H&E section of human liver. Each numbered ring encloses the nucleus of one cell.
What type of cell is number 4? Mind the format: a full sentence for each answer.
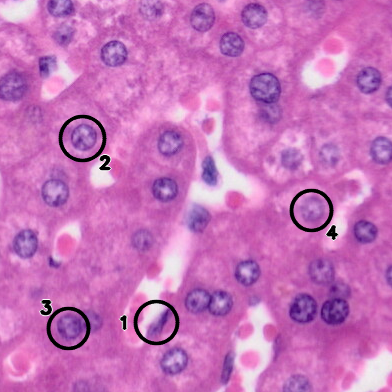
The cell that bears the number 4 is a hepatocyte.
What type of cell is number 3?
In this section, the cell tagged 3 is a hepatocyte.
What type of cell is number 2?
The cell assigned the number 2 is a hepatocyte.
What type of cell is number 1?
The cell indicated with the number 1 is classed as a Kupffer cell.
